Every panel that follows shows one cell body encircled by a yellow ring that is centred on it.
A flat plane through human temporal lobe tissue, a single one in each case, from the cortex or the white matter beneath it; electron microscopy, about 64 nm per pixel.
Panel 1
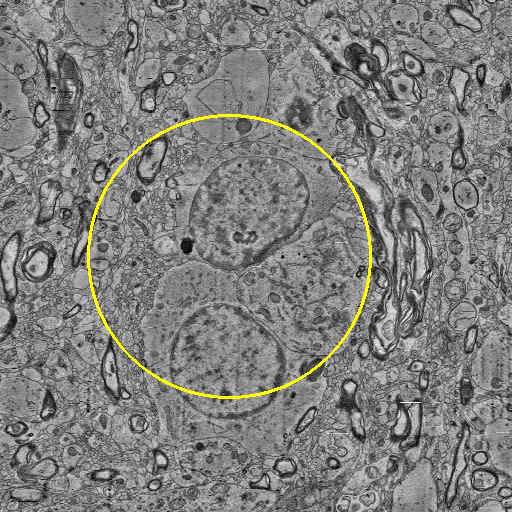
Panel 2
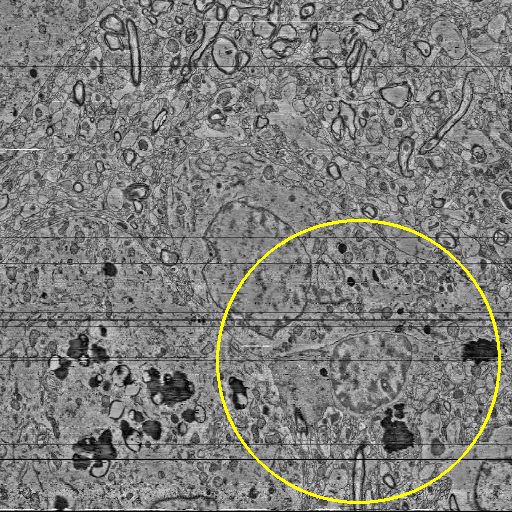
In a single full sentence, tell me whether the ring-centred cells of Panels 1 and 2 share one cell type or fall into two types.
In Panel 1 and Panel 2, the cells at the ring centres share one cell type.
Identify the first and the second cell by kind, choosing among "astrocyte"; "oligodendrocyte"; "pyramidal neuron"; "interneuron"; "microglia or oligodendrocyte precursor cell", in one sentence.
The second cell is an oligodendrocyte, just as the first is.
